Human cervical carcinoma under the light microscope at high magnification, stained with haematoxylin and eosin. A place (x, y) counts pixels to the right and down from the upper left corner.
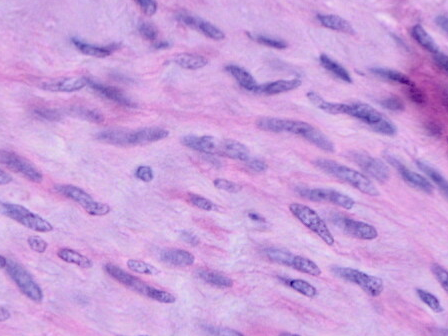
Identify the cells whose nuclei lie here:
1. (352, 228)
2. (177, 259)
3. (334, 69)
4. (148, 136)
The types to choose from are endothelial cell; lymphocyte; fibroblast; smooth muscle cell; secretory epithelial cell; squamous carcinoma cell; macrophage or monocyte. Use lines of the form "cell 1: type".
cell 1: smooth muscle cell
cell 2: smooth muscle cell
cell 3: fibroblast
cell 4: smooth muscle cell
